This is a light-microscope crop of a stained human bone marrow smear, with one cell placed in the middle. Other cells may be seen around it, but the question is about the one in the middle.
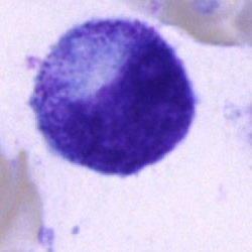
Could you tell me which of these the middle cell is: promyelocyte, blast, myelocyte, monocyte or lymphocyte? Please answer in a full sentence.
Framed in the middle of the crop is a promyelocyte.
